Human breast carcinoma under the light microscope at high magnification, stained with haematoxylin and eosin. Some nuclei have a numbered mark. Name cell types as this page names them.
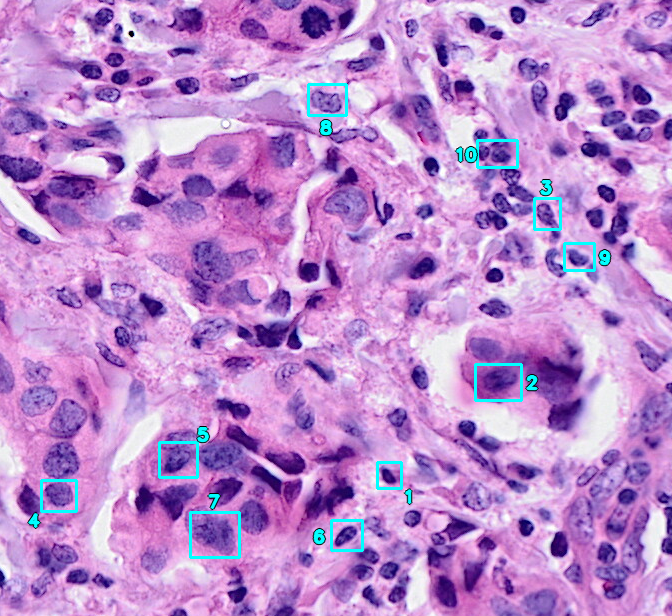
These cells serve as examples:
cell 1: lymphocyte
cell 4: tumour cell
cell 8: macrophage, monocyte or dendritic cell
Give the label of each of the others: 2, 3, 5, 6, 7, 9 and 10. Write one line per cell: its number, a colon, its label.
2: tumour cell
3: lymphocyte
5: tumour cell
6: lymphocyte
7: tumour cell
9: lymphocyte
10: lymphocyte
